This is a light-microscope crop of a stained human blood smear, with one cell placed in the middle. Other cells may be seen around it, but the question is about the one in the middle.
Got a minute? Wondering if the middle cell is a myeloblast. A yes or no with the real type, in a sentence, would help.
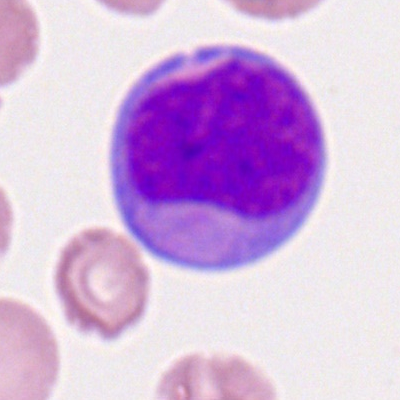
Yes, the crop's central cell is a myeloblast.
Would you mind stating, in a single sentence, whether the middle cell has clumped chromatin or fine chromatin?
No coarse chromatin clumps are present; the pattern is fine.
